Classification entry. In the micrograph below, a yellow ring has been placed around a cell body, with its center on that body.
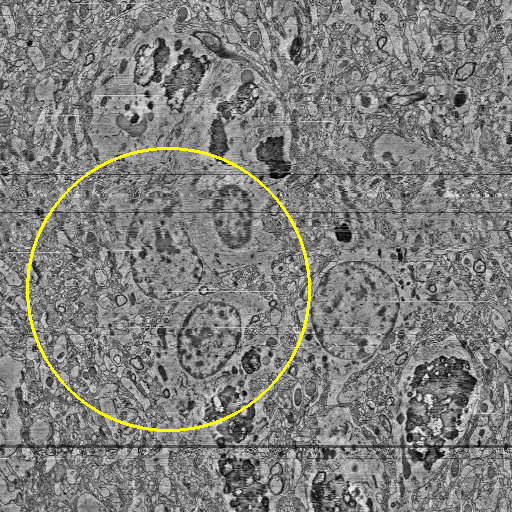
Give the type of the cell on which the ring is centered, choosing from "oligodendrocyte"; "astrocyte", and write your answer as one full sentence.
The cell body at the center of the yellow ring belongs to an astrocyte.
